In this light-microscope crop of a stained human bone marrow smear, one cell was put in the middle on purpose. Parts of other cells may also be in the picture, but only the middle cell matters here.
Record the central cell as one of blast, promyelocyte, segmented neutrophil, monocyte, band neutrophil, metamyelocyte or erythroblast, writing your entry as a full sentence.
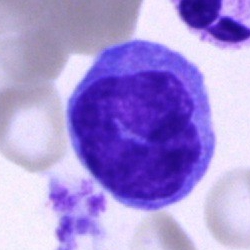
Whatever else lies nearby, the middle cell is a monocyte.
